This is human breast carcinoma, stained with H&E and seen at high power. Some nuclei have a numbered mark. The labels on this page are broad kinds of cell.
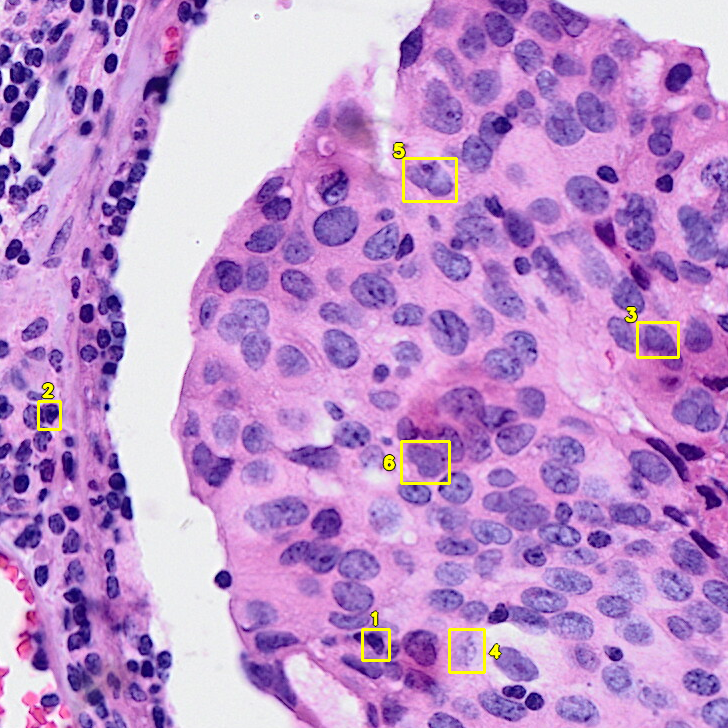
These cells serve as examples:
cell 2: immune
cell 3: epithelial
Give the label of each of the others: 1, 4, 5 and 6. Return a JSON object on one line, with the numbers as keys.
{"1": "immune", "4": "epithelial", "5": "epithelial", "6": "epithelial"}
